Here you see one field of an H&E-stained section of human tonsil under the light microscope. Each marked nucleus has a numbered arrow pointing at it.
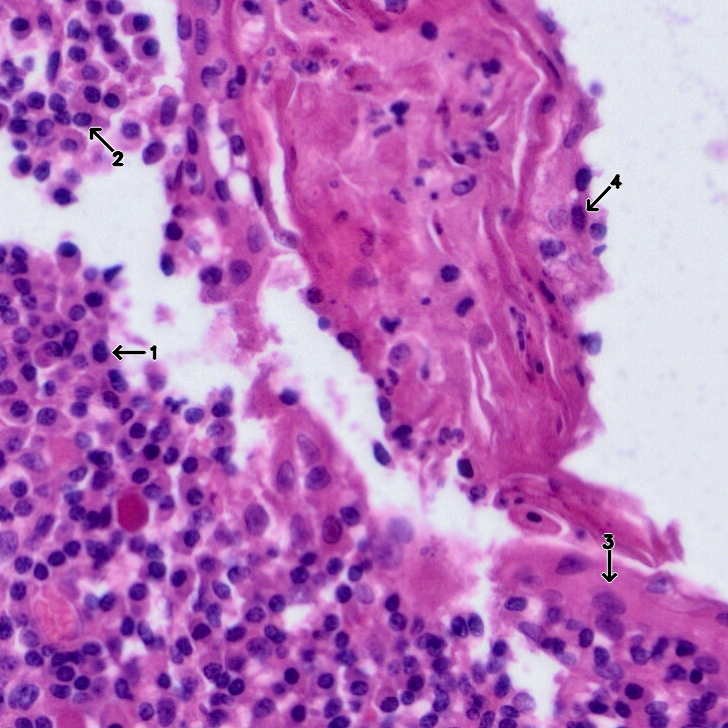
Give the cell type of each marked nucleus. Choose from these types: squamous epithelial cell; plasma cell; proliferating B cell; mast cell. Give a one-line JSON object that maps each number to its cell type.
{"1": "plasma cell", "2": "plasma cell", "3": "squamous epithelial cell", "4": "squamous epithelial cell"}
